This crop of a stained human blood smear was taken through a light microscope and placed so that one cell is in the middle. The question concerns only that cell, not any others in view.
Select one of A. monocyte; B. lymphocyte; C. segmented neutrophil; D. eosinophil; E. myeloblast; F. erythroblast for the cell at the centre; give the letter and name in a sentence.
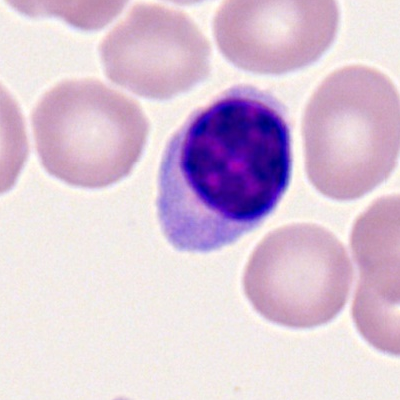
Since the cell in the middle is an erythroblast, option F is correct.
